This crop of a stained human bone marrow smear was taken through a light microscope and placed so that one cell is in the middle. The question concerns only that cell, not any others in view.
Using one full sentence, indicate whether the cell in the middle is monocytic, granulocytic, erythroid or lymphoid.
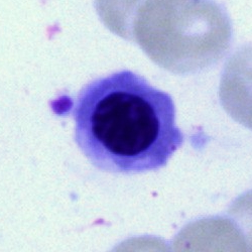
In lineage, the cell at the crop's center is erythroid.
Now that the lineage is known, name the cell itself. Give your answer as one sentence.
The cell at the heart of this crop is an erythroblast.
